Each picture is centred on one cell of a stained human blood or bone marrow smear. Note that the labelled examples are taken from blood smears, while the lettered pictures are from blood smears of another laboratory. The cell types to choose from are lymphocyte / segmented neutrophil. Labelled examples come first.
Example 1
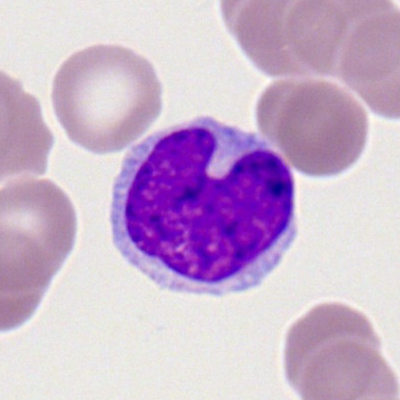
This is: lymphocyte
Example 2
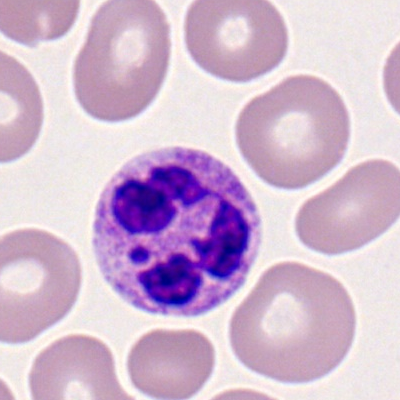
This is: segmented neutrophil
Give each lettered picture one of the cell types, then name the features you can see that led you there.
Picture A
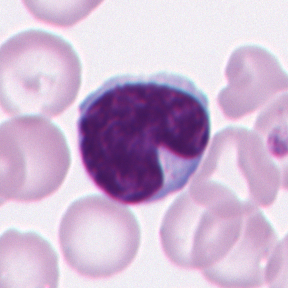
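Answer: lymphocyte. The nucleus fills most of the cell.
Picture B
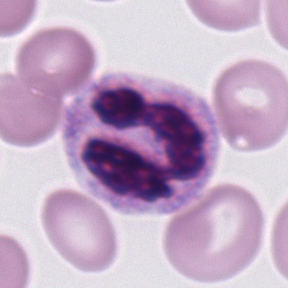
Answer: segmented neutrophil. The nucleus is a thick curved band bent into a horseshoe that opens toward the left.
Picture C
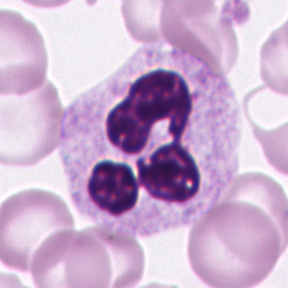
Answer: segmented neutrophil. The nucleus is divided into three separate lobes.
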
